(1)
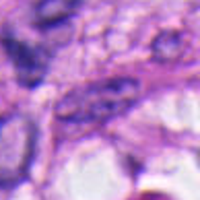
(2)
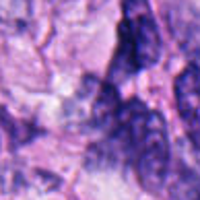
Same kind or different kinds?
Different: the first is a vascular myocyte, the second a cytotrophoblast.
